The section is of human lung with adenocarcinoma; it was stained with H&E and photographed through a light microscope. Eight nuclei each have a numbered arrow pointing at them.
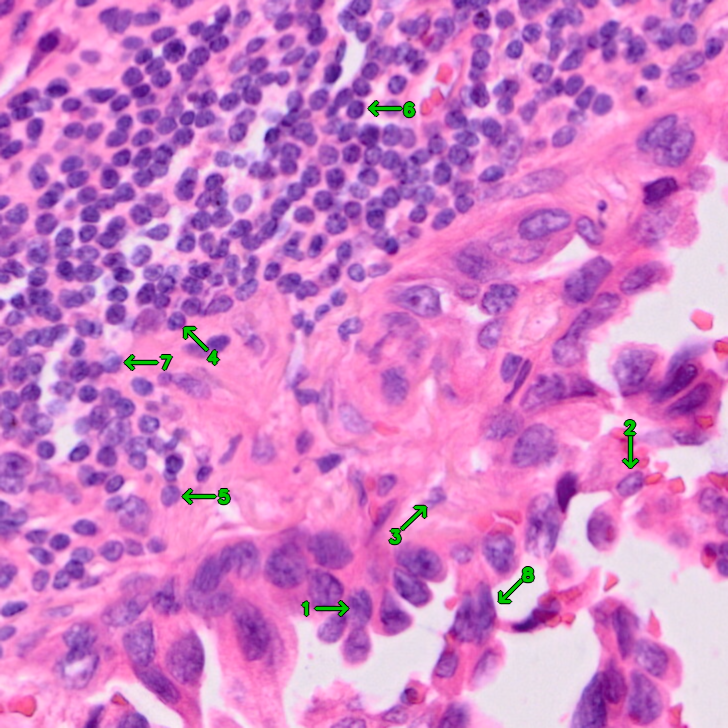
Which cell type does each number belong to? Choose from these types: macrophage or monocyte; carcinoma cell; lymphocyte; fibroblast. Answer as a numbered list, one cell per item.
1. carcinoma cell
2. macrophage or monocyte
3. fibroblast
4. lymphocyte
5. lymphocyte
6. lymphocyte
7. lymphocyte
8. carcinoma cell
